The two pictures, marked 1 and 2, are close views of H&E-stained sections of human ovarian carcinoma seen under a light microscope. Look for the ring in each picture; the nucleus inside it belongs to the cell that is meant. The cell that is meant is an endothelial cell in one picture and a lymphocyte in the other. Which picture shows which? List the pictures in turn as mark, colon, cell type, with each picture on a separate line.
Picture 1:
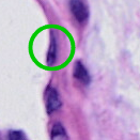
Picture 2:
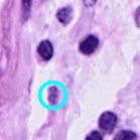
1: endothelial cell
2: lymphocyte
